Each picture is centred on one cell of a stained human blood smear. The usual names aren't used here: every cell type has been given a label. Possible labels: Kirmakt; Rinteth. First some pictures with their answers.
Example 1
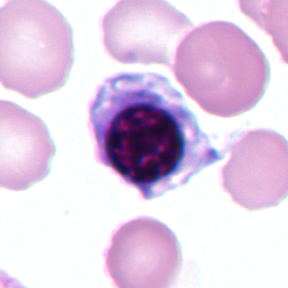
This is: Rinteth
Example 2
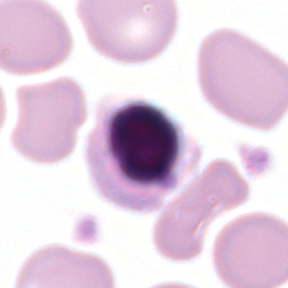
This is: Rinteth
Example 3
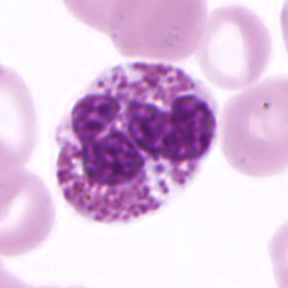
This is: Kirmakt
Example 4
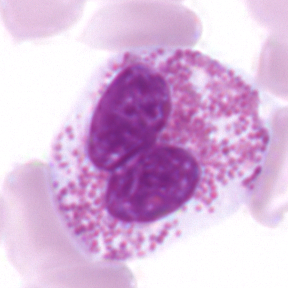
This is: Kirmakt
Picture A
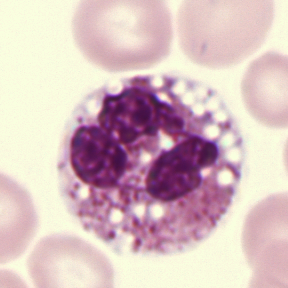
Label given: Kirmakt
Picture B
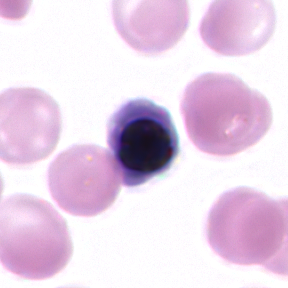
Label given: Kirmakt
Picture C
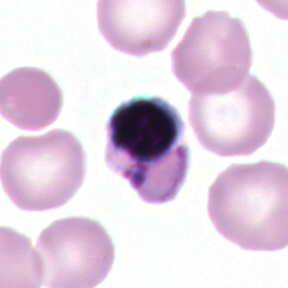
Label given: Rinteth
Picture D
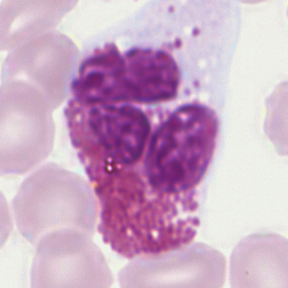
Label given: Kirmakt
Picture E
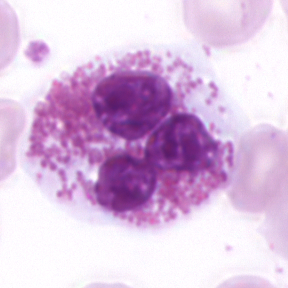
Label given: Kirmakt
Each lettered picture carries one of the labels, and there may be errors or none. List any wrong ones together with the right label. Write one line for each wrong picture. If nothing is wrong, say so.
B: not Kirmakt but Rinteth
